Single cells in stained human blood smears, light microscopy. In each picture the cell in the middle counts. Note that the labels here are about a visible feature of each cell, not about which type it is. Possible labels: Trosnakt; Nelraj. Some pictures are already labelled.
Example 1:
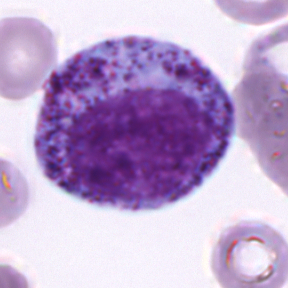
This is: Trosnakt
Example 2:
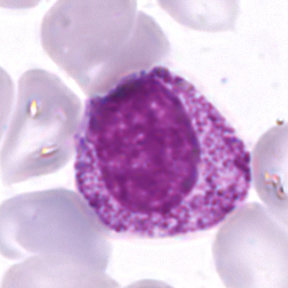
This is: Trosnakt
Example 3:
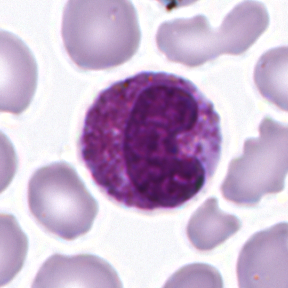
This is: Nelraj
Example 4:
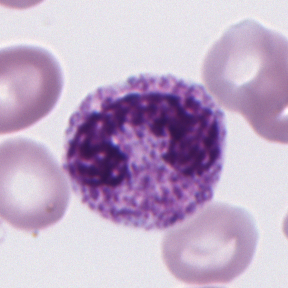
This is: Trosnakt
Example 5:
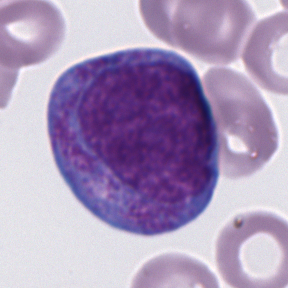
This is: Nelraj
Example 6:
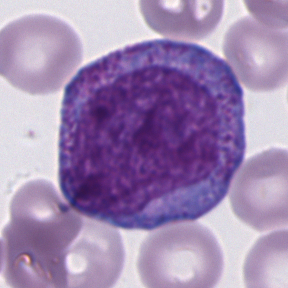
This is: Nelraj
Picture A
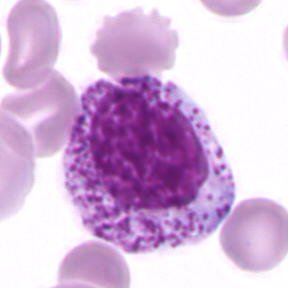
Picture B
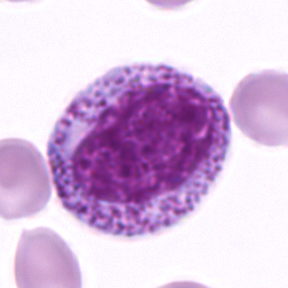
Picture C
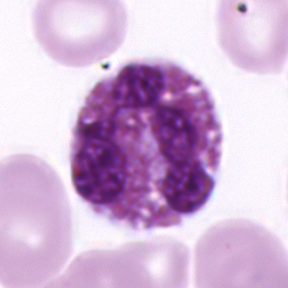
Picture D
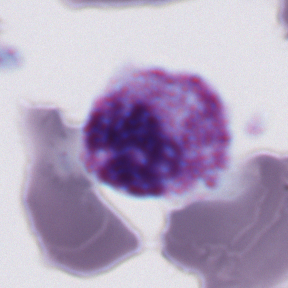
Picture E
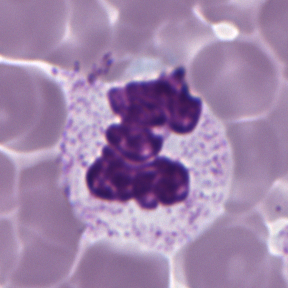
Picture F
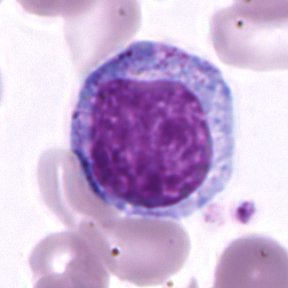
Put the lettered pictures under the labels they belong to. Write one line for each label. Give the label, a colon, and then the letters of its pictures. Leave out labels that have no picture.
Trosnakt: A, B, D
Nelraj: C, E, F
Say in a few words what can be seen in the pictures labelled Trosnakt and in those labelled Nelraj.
In Trosnakt: coarse or large granules. In Nelraj: fine or small granules.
